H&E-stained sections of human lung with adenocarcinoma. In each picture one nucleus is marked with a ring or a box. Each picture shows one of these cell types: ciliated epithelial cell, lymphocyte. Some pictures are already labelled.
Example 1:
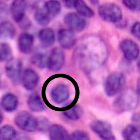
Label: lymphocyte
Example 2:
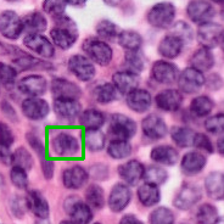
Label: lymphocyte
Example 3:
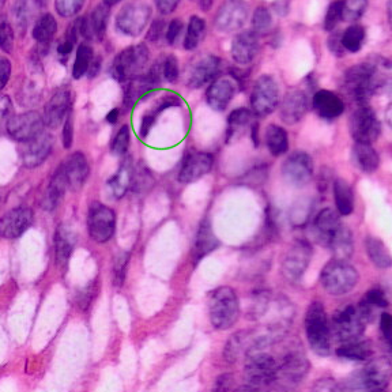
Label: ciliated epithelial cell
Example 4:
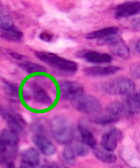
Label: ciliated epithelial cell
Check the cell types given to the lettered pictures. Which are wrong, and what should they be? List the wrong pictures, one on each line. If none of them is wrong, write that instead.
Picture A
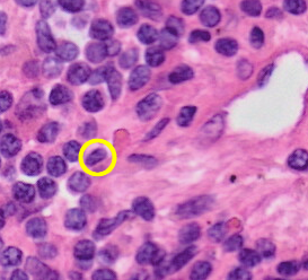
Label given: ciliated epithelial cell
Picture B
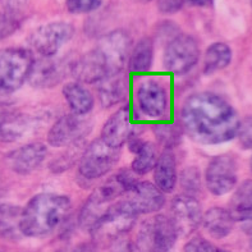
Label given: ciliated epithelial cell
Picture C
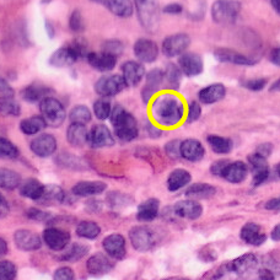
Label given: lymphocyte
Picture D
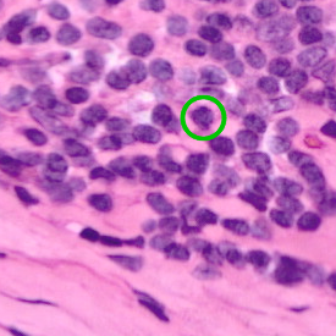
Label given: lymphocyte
A is labelled ciliated epithelial cell; correct label: lymphocyte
